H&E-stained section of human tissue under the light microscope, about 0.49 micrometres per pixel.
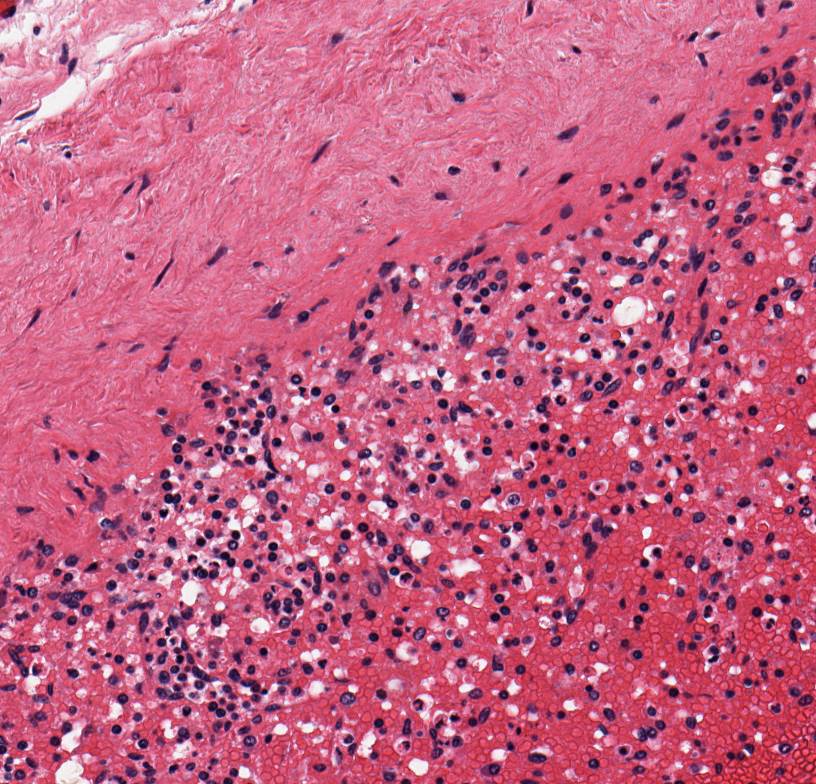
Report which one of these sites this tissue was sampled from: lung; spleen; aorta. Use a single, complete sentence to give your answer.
A piece of the spleen was sampled for this section.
